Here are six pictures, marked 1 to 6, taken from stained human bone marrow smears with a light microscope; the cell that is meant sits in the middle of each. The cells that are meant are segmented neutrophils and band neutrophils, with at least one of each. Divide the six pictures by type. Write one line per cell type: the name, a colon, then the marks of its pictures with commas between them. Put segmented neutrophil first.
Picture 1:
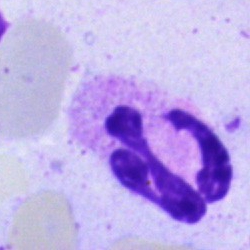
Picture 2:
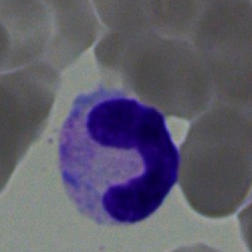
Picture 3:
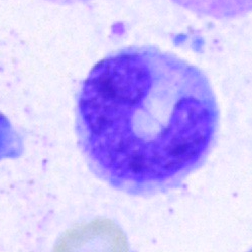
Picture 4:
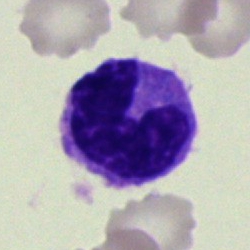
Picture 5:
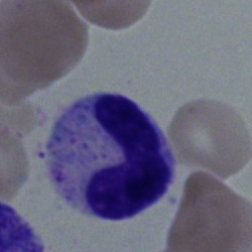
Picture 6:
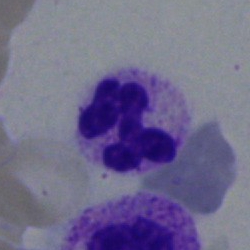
segmented neutrophil: 1, 6
band neutrophil: 2, 3, 4, 5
